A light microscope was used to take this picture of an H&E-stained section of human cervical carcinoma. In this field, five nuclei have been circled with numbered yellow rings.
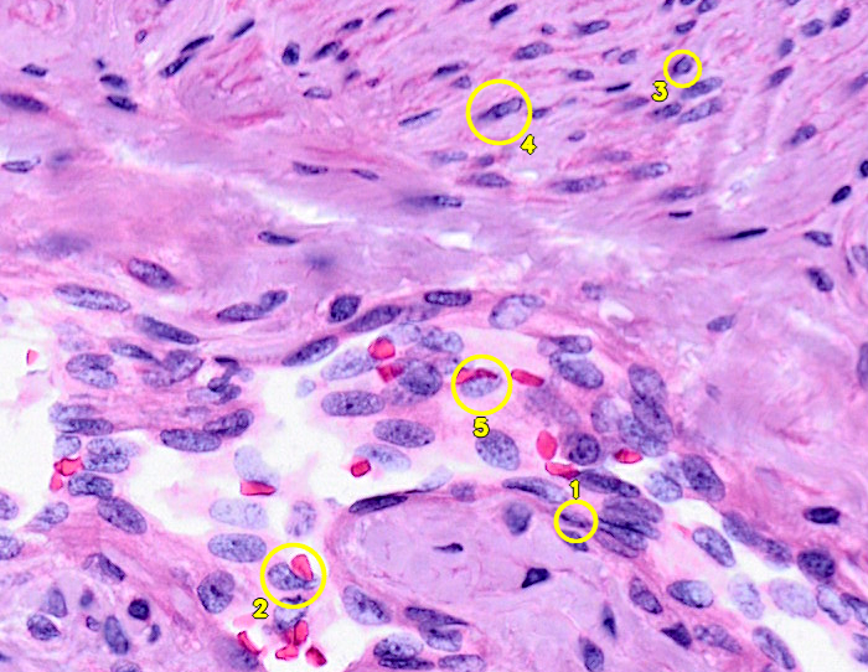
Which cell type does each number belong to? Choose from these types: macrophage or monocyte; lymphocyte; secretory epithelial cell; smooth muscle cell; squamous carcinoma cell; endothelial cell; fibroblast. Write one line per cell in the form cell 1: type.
cell 1: endothelial cell
cell 2: endothelial cell
cell 3: smooth muscle cell
cell 4: smooth muscle cell
cell 5: endothelial cell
